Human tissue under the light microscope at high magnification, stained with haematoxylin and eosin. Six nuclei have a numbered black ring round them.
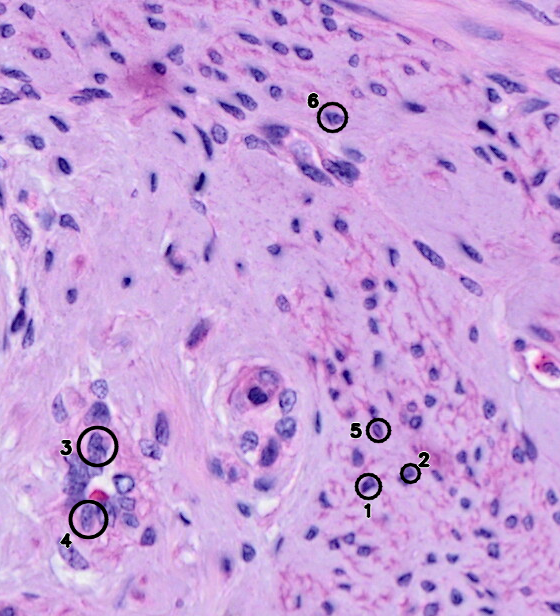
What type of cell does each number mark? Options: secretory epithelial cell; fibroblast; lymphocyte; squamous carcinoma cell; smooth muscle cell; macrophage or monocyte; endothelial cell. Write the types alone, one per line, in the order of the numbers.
smooth muscle cell
smooth muscle cell
endothelial cell
endothelial cell
smooth muscle cell
smooth muscle cell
